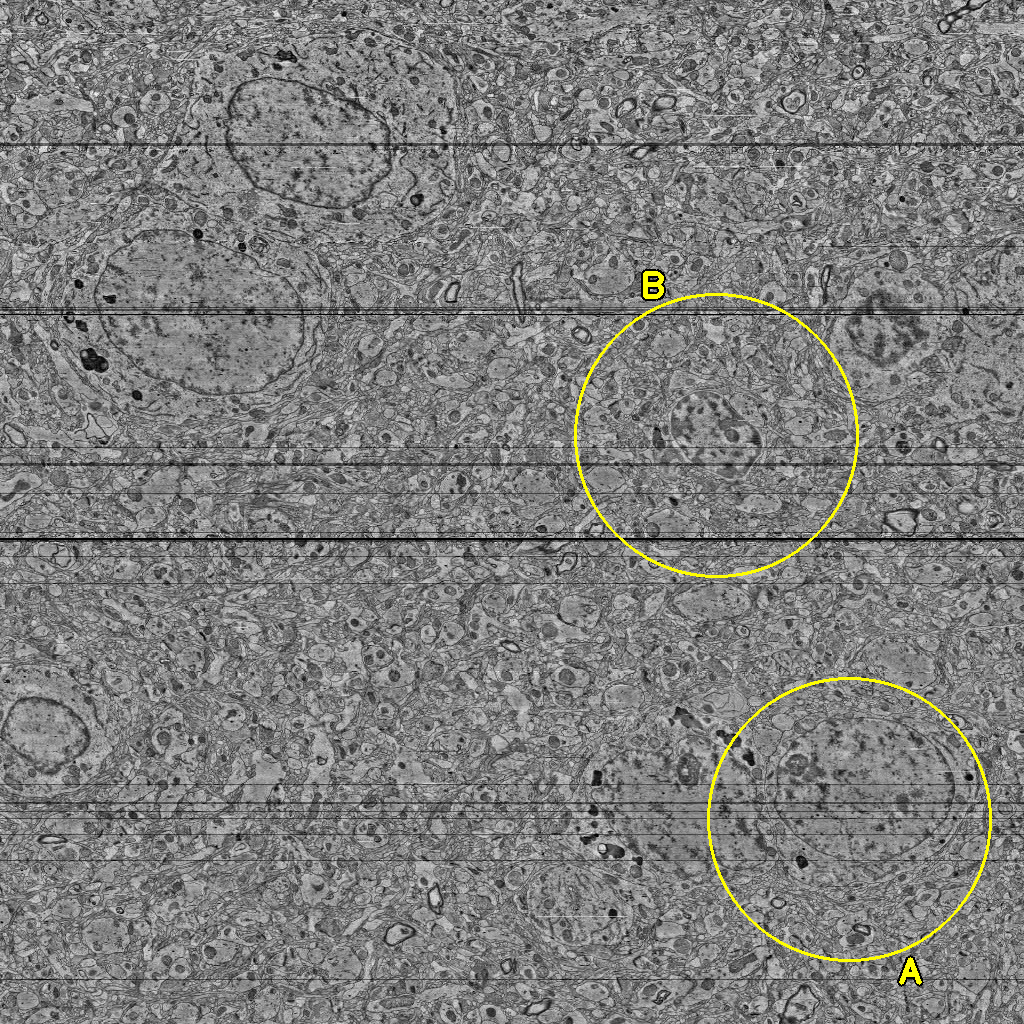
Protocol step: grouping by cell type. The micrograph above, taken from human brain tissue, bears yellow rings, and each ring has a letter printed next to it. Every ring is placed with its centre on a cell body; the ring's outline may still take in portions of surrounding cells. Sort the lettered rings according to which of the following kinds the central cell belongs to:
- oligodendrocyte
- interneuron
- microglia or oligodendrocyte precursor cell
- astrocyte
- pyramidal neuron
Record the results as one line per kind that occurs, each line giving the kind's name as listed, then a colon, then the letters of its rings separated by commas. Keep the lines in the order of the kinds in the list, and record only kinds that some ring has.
microglia or oligodendrocyte precursor cell: B
pyramidal neuron: A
